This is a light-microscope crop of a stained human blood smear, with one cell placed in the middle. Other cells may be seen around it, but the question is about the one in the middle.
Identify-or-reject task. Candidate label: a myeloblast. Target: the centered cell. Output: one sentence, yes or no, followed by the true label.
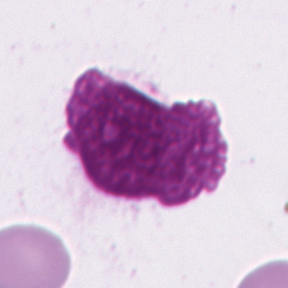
No, it is a smudge cell that sits in the middle, not a myeloblast.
